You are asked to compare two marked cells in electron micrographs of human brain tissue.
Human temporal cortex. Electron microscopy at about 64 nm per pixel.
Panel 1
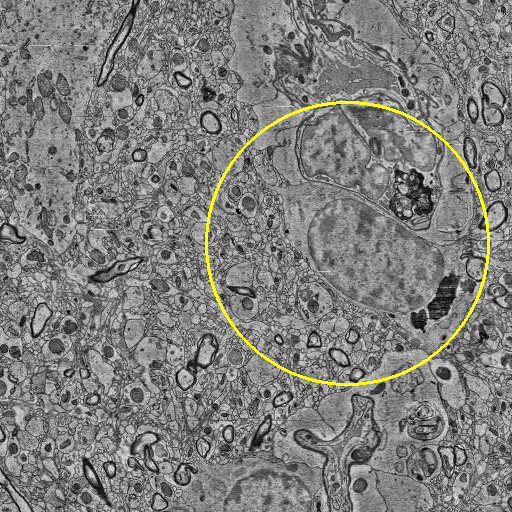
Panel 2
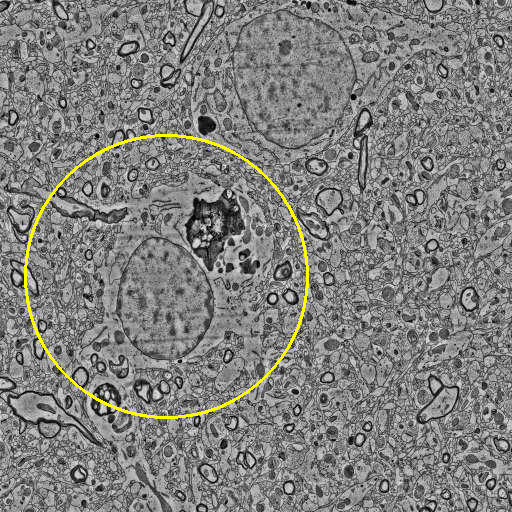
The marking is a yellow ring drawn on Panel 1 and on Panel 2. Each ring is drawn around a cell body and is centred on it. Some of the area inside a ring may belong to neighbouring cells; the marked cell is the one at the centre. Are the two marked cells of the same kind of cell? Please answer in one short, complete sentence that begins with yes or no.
No, the two marked cells are of two kinds.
